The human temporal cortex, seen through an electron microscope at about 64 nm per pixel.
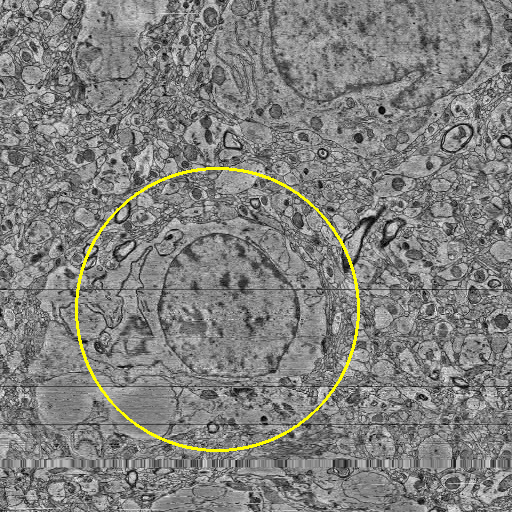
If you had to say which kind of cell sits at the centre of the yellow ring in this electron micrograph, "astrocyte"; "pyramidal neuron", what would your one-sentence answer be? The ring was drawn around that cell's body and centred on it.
The cell sitting at the centre of the ring is an astrocyte.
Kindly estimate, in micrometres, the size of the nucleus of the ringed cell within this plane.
The nucleus comes to roughly 11 by 9 micrometres in this plane.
